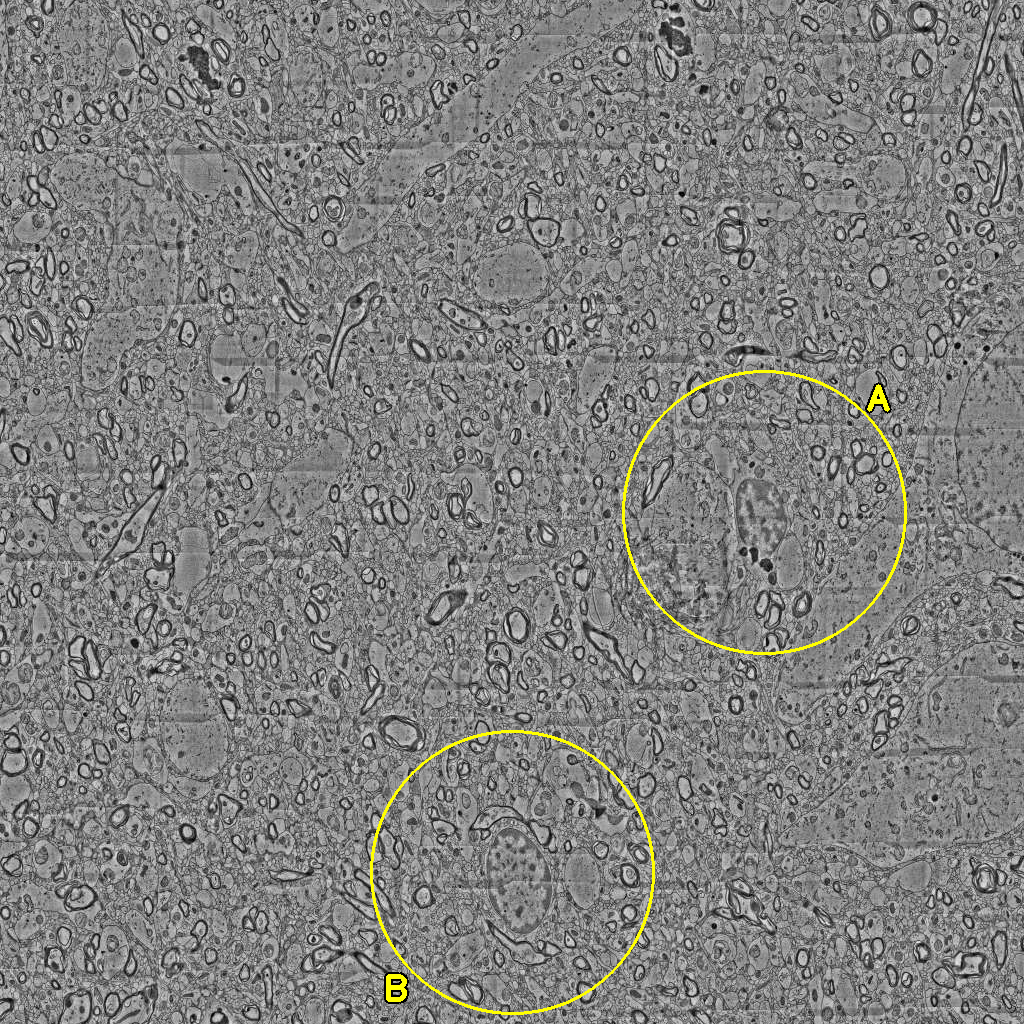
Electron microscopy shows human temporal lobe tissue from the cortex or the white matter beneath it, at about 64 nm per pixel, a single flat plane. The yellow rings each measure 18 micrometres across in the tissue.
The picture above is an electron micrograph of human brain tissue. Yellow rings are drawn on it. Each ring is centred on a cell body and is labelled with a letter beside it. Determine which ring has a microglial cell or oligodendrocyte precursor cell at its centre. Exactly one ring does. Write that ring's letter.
B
